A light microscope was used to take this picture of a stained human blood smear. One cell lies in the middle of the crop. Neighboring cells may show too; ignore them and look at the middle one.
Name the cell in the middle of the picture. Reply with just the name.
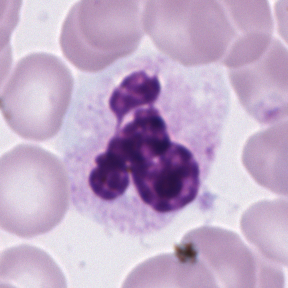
segmented neutrophil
